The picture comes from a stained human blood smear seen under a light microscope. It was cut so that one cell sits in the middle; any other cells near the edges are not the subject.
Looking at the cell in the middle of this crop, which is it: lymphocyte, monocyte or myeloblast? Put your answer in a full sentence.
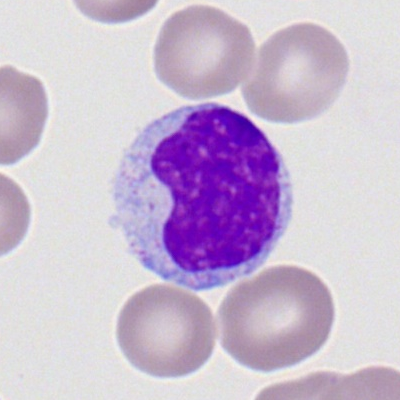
To answer, the cell in the center of the crop is a lymphocyte.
